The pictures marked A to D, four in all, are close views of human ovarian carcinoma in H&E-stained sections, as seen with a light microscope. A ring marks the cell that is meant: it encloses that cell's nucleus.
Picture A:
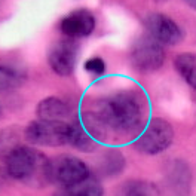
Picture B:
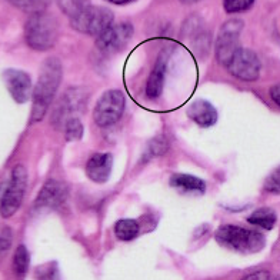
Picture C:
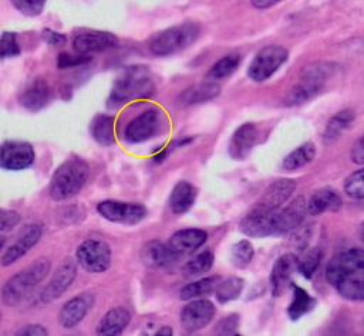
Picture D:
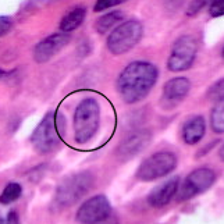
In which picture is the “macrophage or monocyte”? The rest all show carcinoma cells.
D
